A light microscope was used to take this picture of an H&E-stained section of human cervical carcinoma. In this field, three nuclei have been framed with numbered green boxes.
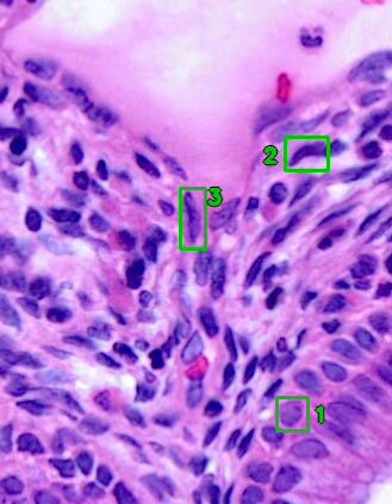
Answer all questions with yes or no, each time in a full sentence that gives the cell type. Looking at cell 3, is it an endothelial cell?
Yes, that is so; number 3 marks an endothelial cell.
